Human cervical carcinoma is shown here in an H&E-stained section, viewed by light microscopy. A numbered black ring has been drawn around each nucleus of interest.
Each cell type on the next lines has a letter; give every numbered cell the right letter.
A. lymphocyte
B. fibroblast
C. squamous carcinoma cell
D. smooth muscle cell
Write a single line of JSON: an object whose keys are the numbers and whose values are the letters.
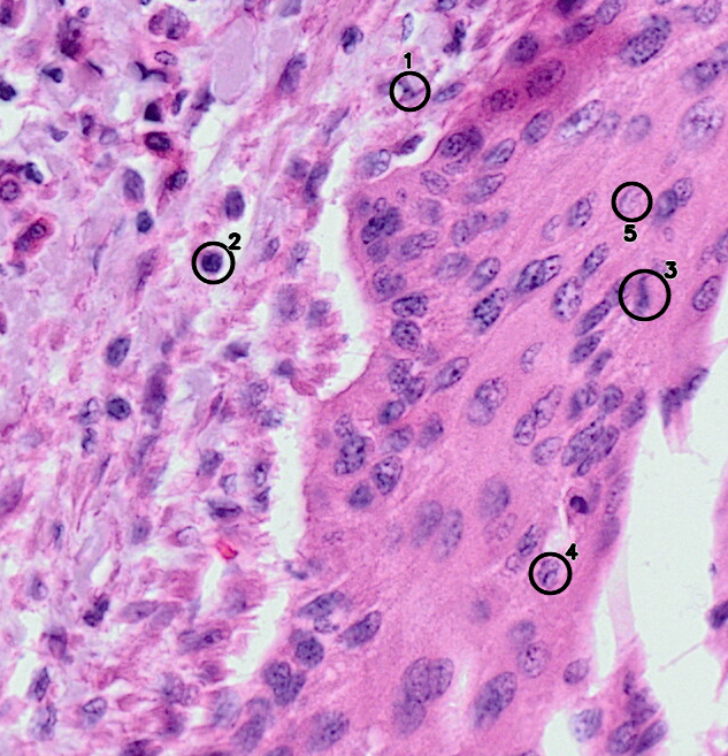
{"1": "B", "2": "A", "3": "C", "4": "C", "5": "C"}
